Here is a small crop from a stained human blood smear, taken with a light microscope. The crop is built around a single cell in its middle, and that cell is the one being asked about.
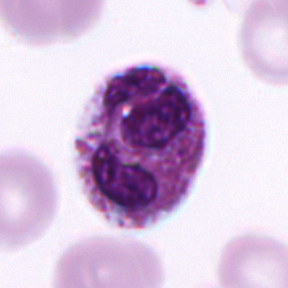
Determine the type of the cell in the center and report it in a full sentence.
In the middle of this smear crop, the cell is an eosinophil.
